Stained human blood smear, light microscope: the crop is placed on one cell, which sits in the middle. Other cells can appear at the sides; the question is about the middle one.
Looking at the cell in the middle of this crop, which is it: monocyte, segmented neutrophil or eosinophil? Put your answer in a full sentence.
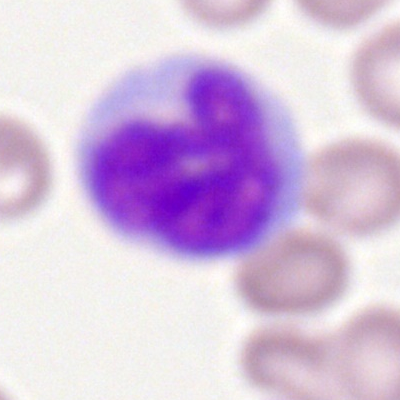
The cell the crop is centered on is a monocyte.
